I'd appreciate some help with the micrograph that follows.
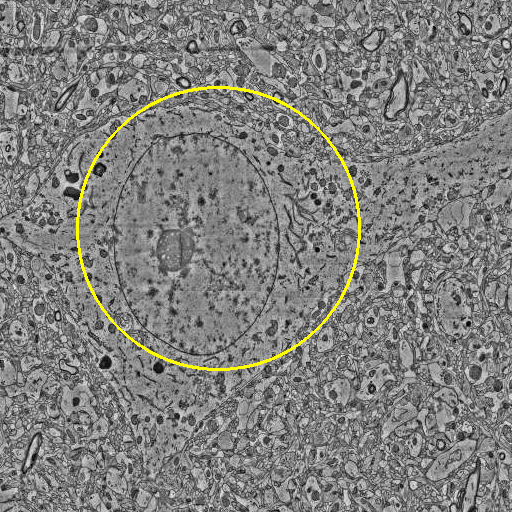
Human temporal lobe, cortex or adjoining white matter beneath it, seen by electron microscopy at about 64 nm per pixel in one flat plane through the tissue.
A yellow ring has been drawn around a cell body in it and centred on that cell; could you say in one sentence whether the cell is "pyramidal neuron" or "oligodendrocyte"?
It is a pyramidal neuron at the centre of the ring.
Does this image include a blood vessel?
No, no blood vessel can be seen.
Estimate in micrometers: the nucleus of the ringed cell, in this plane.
Approximately 14 micrometres long and 11 micrometres wide, in this plane.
